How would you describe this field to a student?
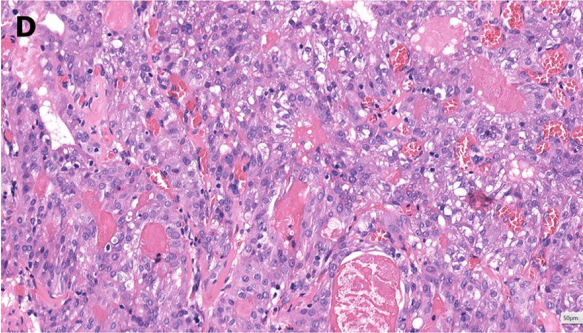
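This is a densely cellular tumor made up of polygonal cells with round nuclei. Their cytoplasm is pink to pale and vacuolated. Numerous thin-walled vessels full of red cells and pink hyaline deposits lie among the cells.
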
